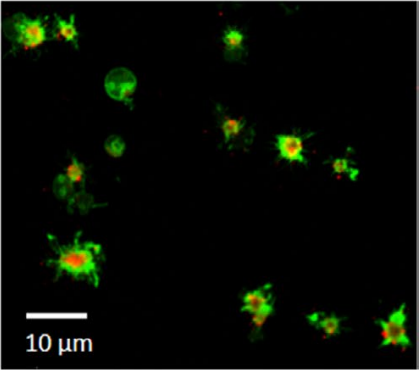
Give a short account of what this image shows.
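These are activated platelets, small cells only a few micrometres across, scattered singly over a dark field. Most have spread out irregular, spiky processes, outlined in green all around them. A red spot sits centrally in many of them, so their middle looks orange to yellow where red and green overlap. A few rounder platelets show only a faint green ring without spikes and little red.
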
